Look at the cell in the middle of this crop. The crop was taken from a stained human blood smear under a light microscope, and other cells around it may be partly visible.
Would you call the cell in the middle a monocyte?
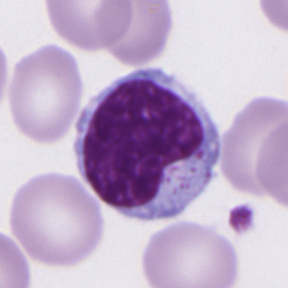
no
